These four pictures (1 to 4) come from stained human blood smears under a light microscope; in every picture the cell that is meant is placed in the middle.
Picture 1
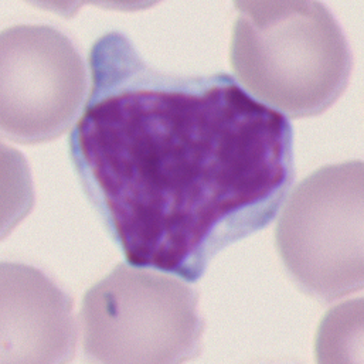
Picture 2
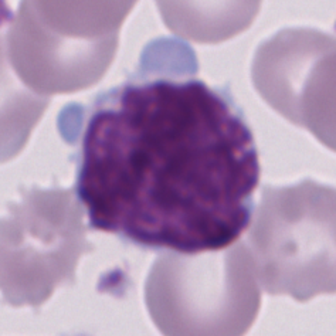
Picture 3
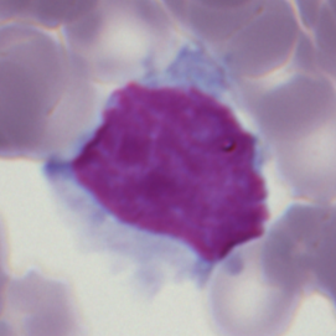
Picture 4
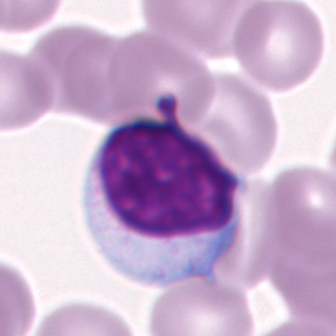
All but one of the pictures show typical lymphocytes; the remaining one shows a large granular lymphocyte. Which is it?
4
